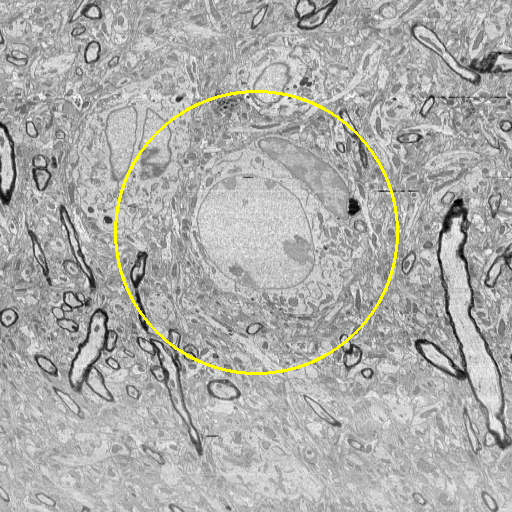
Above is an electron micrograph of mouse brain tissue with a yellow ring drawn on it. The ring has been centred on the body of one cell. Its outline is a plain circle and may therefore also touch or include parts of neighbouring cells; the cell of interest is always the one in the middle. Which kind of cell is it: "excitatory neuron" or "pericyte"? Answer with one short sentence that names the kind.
The ring's central cell body is that of an excitatory neuron.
